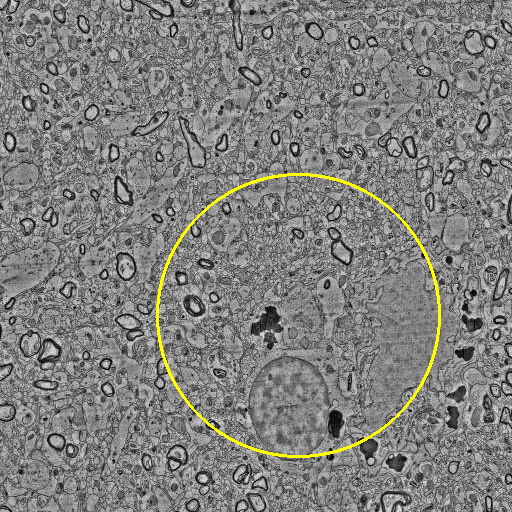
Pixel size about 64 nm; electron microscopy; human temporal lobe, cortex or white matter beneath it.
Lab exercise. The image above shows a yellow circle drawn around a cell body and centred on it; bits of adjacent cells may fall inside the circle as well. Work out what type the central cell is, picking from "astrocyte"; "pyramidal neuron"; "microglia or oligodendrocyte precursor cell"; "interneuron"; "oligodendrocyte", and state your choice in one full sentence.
In the image above, the cell at the centre of the yellow circle is an oligodendrocyte.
